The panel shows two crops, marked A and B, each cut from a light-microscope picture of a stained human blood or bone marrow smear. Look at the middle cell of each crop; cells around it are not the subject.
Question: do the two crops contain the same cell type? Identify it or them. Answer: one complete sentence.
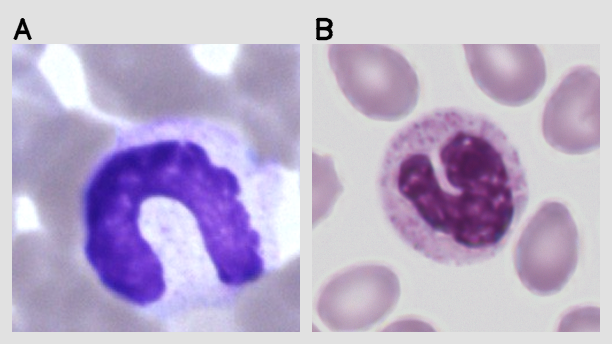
Yes, it is band neutrophils that sit at the centre of both crops.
